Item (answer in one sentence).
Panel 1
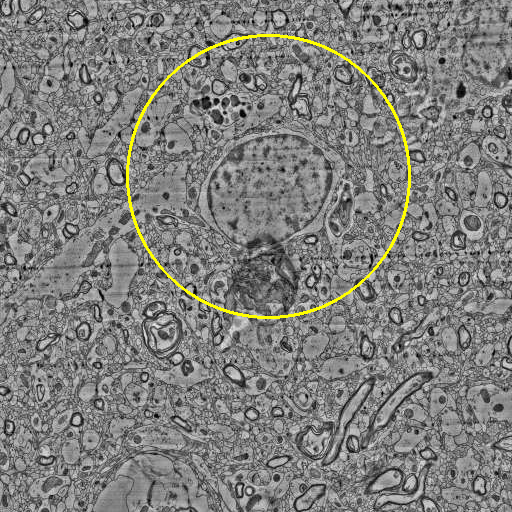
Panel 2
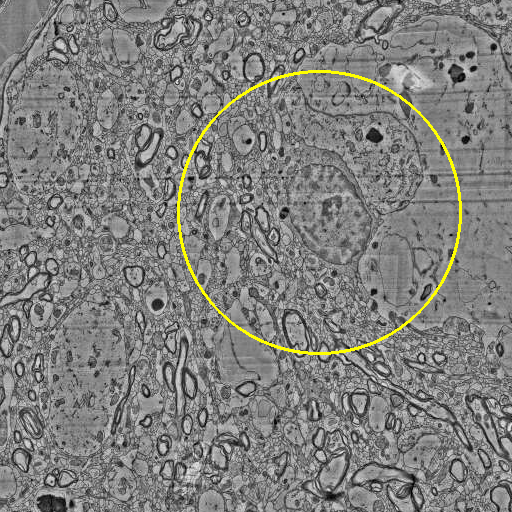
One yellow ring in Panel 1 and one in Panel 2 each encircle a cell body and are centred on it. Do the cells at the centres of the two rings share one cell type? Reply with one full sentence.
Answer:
No, Panel 1 and Panel 2 show cells of two types at the centres of their rings.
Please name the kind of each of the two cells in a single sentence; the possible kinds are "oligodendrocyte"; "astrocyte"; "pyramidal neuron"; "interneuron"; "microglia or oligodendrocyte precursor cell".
In the first picture the ring is centred on a microglial cell or oligodendrocyte precursor cell, and in the second on an oligodendrocyte.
